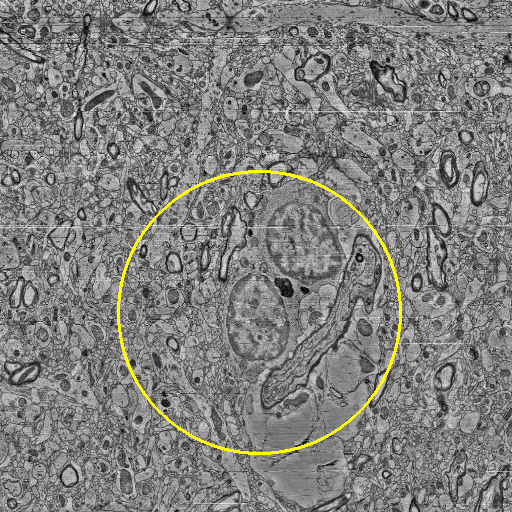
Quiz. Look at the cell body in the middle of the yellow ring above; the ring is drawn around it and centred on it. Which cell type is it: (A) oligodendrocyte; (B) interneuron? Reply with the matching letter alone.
A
